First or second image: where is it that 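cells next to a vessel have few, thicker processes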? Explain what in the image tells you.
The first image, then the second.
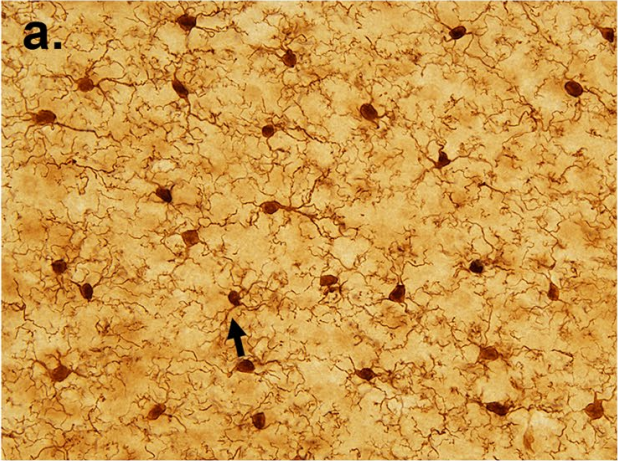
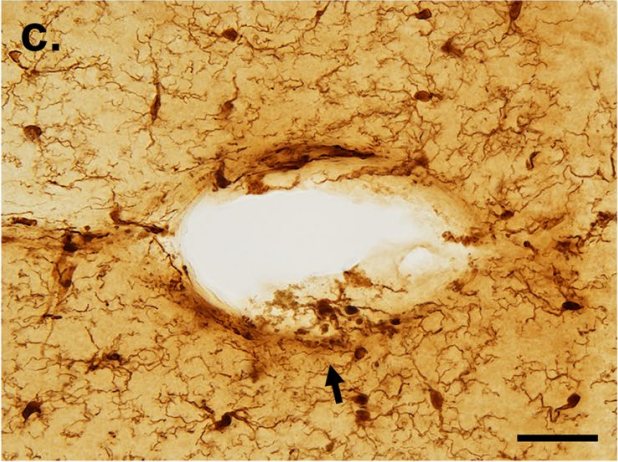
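Second image: cells along the vessel wall are rounded with short, thick processes. First image: all cells have many long, thin twisted processes.
Conclusion: the second image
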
